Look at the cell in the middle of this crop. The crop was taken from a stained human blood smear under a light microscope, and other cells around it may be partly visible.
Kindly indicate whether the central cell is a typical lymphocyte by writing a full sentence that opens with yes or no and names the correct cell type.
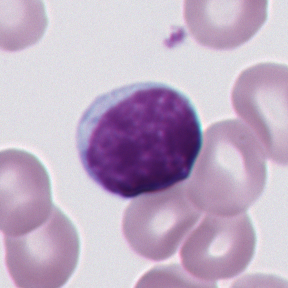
Yes, the crop's central cell is a typical lymphocyte.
